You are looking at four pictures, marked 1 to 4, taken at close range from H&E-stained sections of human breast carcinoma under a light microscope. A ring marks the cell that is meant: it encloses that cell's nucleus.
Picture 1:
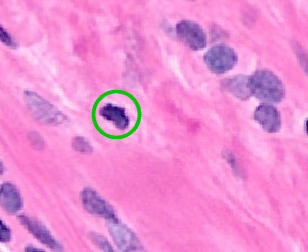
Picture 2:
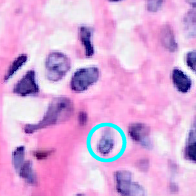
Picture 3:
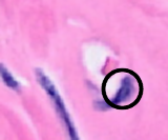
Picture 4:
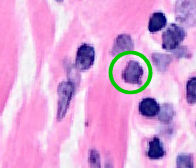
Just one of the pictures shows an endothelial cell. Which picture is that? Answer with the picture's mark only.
3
